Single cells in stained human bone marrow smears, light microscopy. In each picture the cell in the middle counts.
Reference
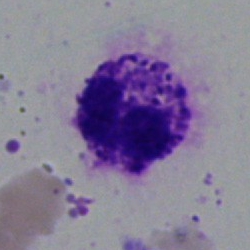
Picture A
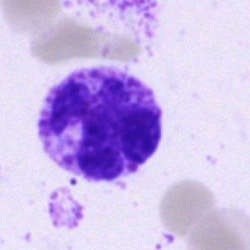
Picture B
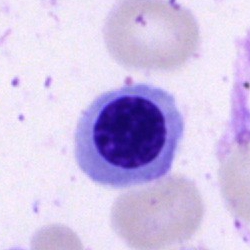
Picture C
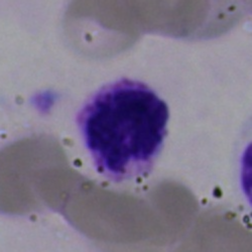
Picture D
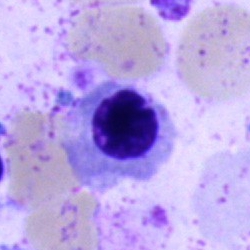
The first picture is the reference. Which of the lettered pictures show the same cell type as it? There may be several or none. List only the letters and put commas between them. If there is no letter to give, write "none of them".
A, C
